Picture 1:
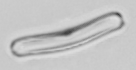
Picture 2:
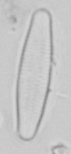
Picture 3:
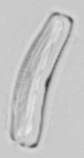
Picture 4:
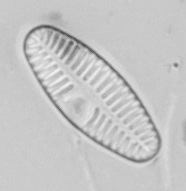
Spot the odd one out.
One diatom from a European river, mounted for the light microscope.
Picture 4 (Planothidium among Achnanthidium).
